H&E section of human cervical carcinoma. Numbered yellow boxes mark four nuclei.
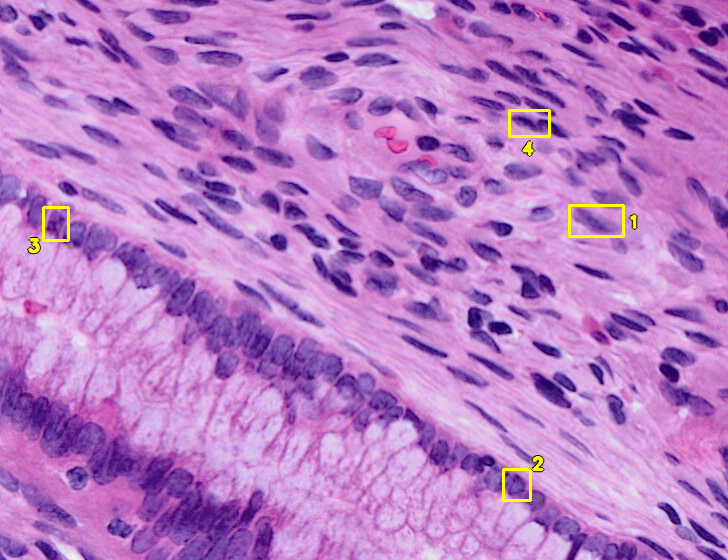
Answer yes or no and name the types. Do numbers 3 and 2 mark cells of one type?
Yes, cell 3 and cell 2 are both secretory epithelial cells.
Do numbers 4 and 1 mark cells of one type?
Yes, both cells 4 and 1 are fibroblasts.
